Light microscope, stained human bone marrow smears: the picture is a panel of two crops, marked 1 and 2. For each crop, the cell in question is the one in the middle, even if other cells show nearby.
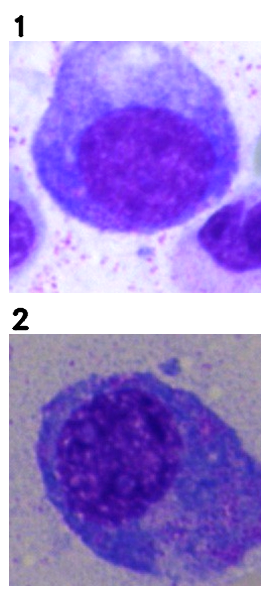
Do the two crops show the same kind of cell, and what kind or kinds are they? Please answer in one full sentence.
Yes, both crops show promyelocytes at their middles.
